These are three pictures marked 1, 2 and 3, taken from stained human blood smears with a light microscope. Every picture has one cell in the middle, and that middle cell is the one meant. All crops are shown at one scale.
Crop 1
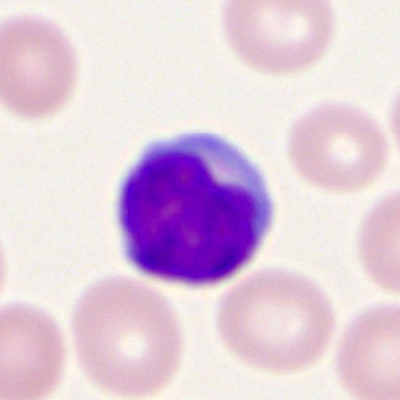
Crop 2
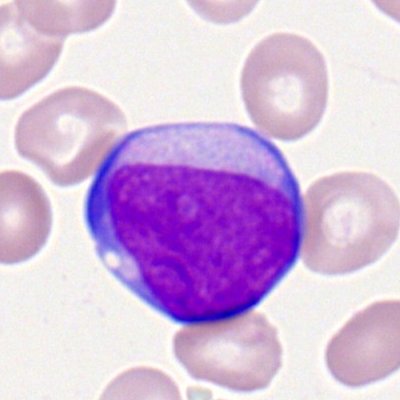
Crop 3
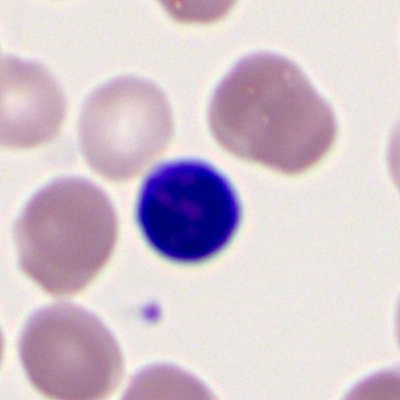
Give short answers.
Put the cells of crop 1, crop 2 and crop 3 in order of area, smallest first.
3, 1, 2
